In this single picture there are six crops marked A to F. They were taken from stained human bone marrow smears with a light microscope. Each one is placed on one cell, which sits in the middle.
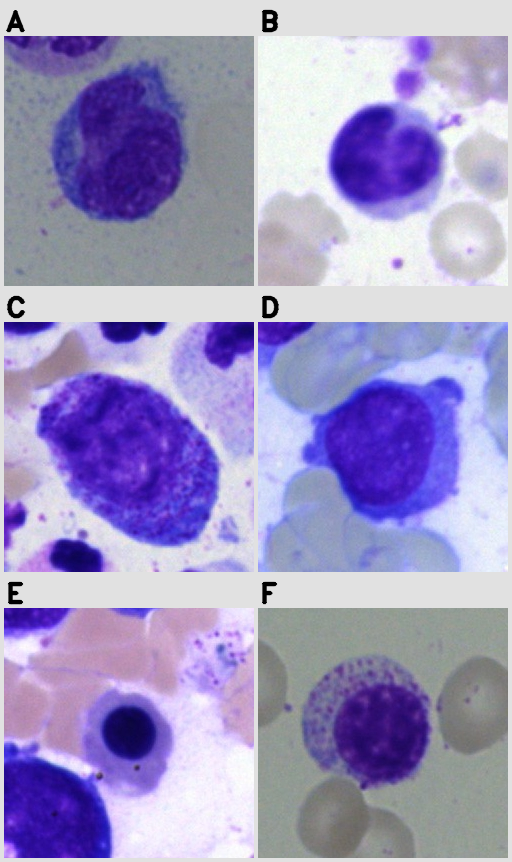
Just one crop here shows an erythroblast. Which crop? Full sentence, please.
In this set, crop E is the one showing an erythroblast.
